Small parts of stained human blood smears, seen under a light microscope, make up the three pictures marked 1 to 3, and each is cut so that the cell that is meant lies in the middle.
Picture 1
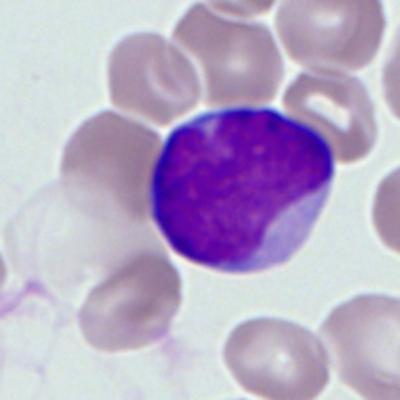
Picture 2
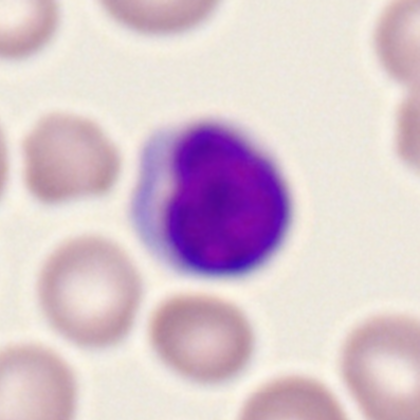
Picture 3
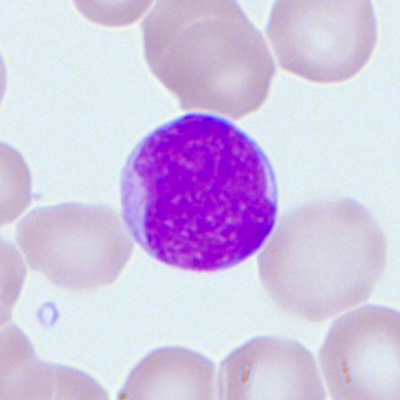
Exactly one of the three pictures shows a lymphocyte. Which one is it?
2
